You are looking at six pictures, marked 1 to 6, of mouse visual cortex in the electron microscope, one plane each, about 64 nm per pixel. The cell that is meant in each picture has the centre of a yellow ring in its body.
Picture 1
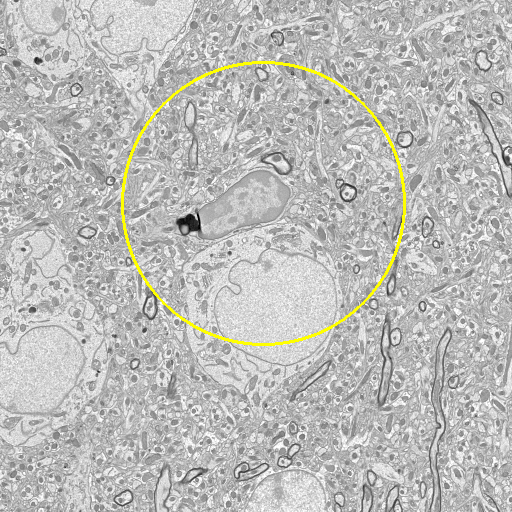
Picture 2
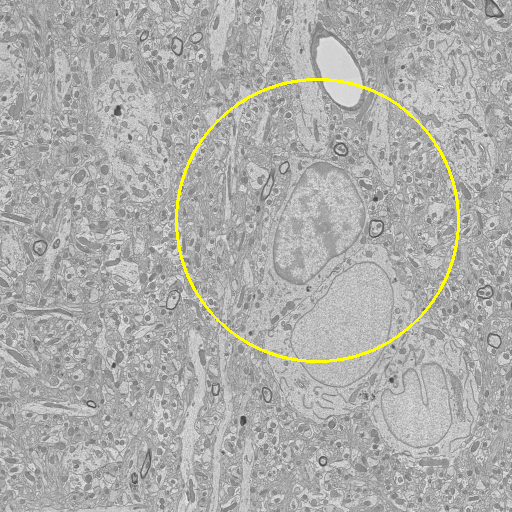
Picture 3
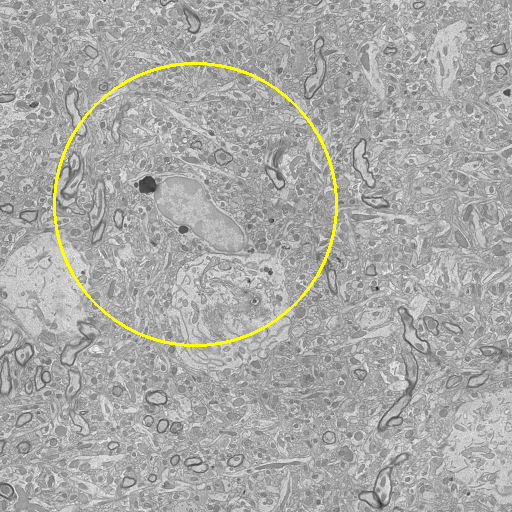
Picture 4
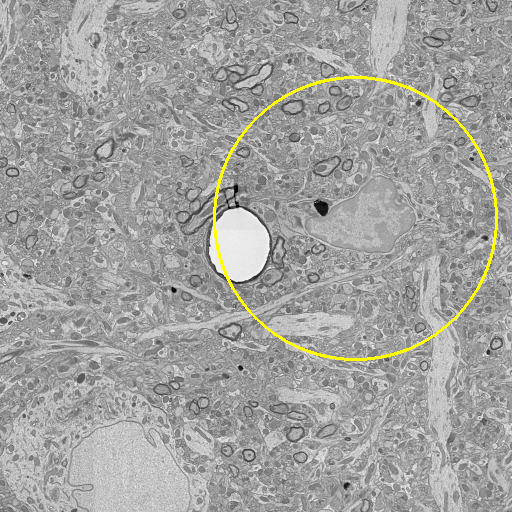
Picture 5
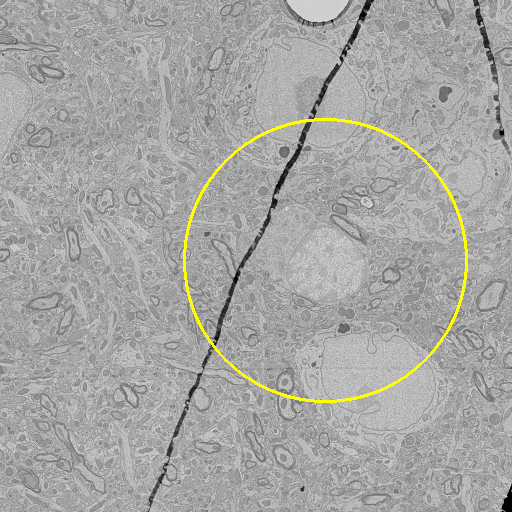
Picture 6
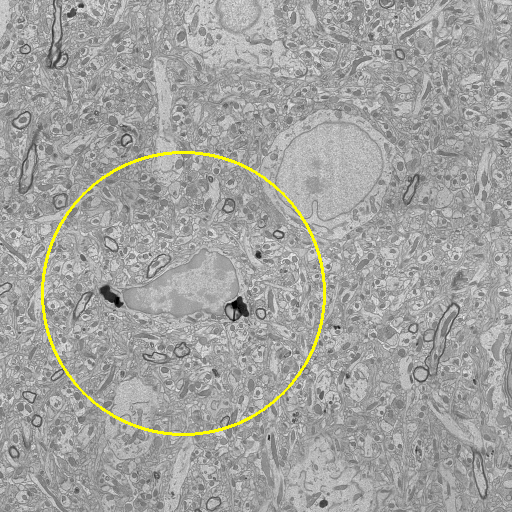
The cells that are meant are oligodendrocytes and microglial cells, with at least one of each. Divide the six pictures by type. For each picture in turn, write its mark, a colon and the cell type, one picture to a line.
1: microglial cell
2: oligodendrocyte
3: microglial cell
4: microglial cell
5: oligodendrocyte
6: microglial cell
